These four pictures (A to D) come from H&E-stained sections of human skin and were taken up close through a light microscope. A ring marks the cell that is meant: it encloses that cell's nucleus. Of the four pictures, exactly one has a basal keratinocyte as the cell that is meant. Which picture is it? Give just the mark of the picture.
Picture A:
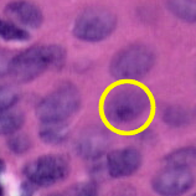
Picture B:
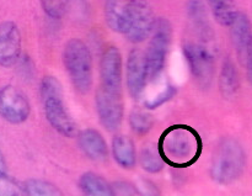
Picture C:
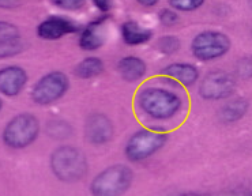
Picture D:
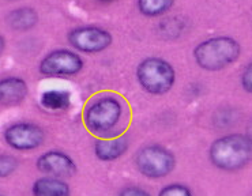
B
